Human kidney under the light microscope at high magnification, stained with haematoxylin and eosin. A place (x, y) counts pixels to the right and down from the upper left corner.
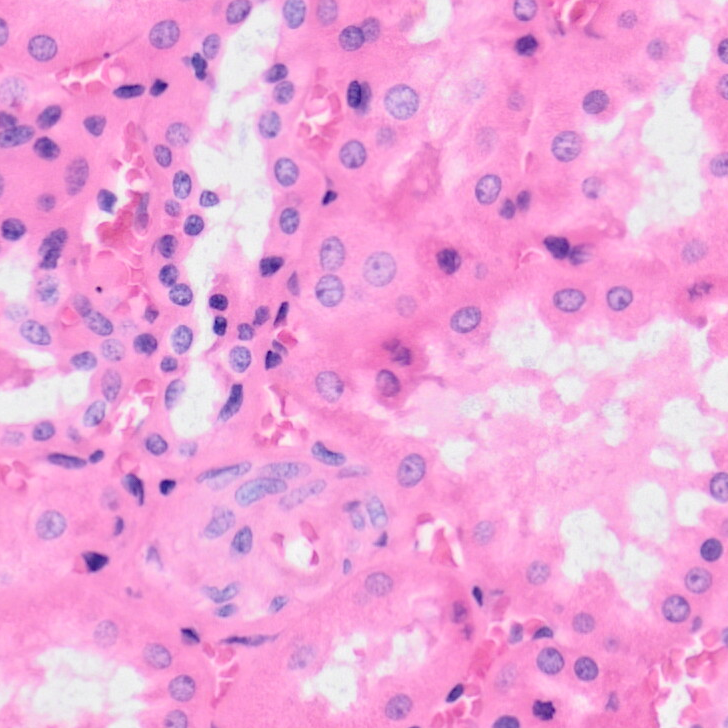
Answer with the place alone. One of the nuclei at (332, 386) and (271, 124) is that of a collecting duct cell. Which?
(271, 124)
